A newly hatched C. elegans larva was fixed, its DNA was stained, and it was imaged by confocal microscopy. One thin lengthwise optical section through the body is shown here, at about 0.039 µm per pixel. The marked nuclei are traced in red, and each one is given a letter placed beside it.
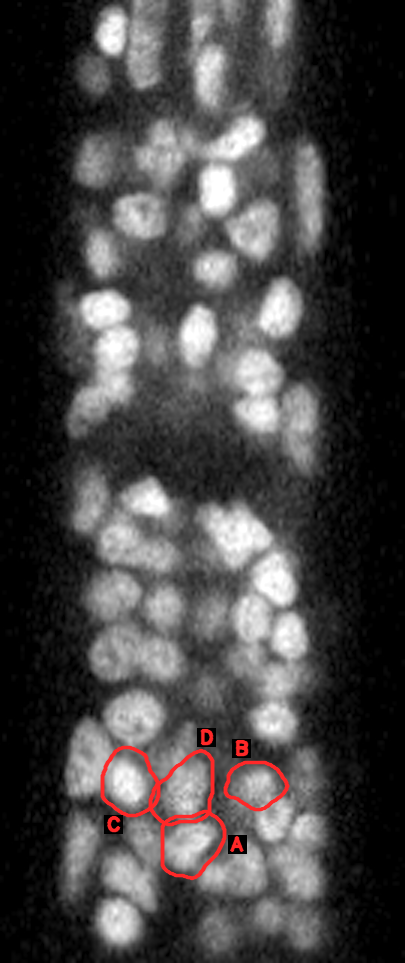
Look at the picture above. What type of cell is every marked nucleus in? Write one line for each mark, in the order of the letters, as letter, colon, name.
A: pharyngeal muscle cell
B: neuron
C: neuron
D: pharyngeal marginal cell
